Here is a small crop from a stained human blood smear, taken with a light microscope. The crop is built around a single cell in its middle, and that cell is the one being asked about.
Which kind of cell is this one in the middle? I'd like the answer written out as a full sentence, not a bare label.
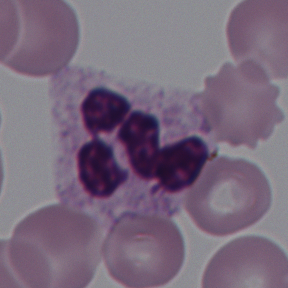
Where the crop is centred, there is a segmented neutrophil.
